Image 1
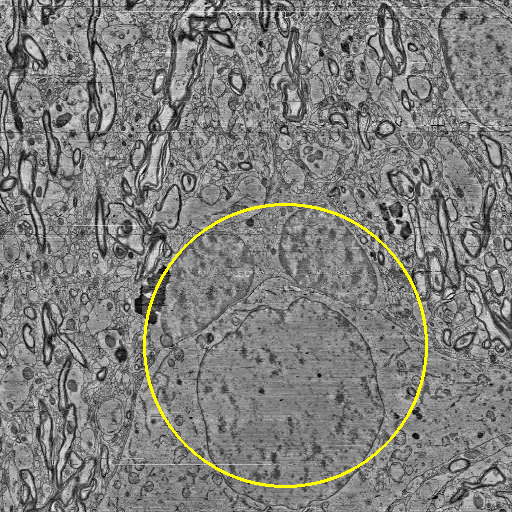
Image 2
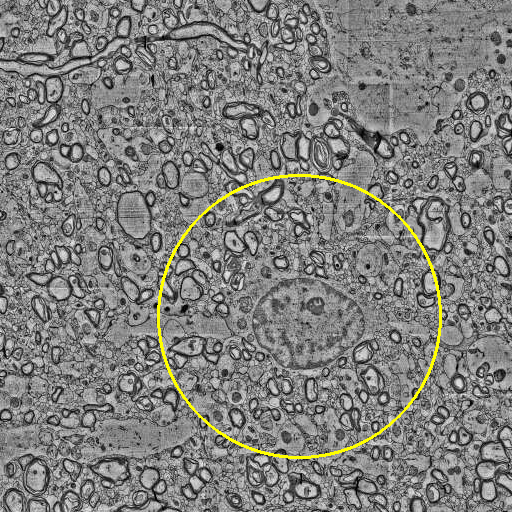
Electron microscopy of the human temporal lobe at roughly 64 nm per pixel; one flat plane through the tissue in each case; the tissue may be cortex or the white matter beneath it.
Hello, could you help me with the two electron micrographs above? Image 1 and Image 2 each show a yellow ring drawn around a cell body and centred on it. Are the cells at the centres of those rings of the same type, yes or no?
no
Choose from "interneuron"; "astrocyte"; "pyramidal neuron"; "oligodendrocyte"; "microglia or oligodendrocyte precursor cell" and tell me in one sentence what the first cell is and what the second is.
What the first ring is centred on is a pyramidal neuron; what the second ring is centred on is an oligodendrocyte.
